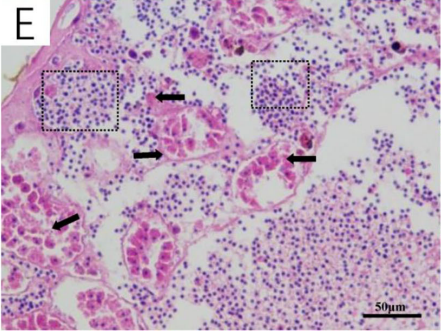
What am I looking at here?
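This kidney section shows renal tubules surrounded by interstitial tissue crowded with small round cells with dark blue nuclei. The tubular epithelial cells are shrunken, deeply pink and have come away from the tubule wall, lying loose within the lumen. The thin outer wall of the tubules remains as an empty outline around the detached cells. Large areas of the interstitium are flooded with the small nucleated blood cells, spreading widely between the tubules. Scattered dark pigment specks are also present.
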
